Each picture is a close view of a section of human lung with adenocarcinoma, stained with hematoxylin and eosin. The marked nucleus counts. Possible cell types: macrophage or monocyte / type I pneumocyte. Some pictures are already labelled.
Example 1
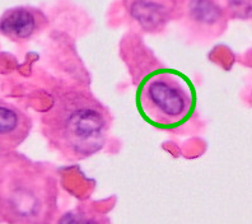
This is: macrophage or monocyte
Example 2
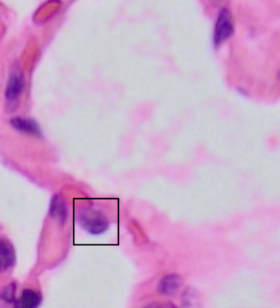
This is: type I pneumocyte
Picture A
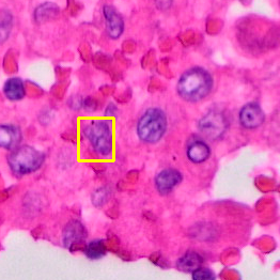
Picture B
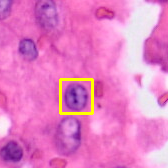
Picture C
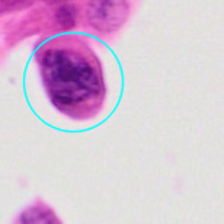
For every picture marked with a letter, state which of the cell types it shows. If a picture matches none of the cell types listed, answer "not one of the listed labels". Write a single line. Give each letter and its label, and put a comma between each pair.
A macrophage or monocyte, B macrophage or monocyte, C not one of the listed labels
